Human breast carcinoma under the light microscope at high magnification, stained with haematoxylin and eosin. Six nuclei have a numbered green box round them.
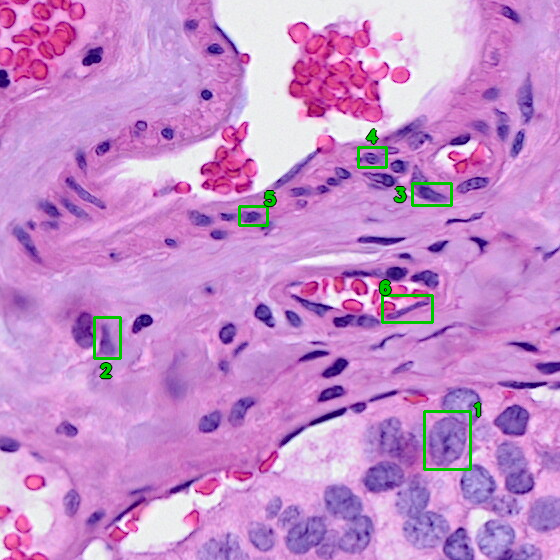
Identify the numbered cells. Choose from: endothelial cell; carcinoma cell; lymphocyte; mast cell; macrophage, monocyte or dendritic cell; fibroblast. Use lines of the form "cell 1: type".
cell 1: carcinoma cell
cell 2: fibroblast
cell 3: endothelial cell
cell 4: endothelial cell
cell 5: endothelial cell
cell 6: endothelial cell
